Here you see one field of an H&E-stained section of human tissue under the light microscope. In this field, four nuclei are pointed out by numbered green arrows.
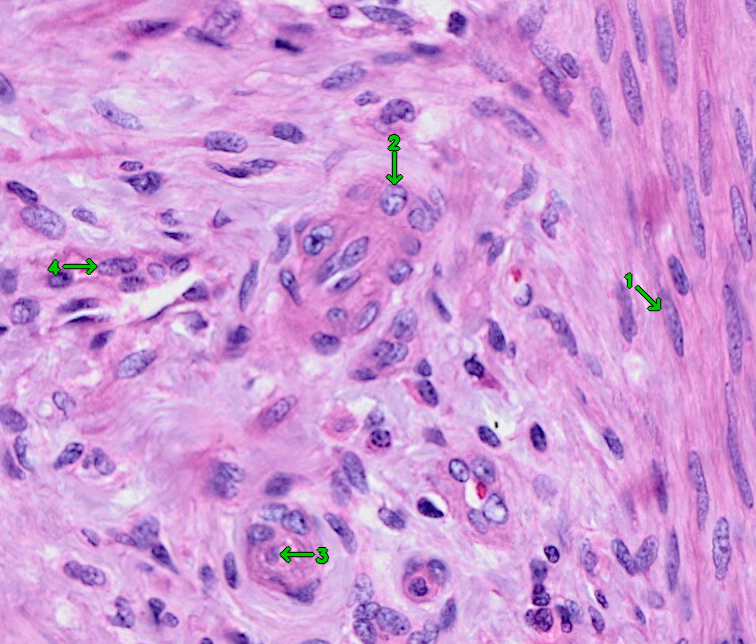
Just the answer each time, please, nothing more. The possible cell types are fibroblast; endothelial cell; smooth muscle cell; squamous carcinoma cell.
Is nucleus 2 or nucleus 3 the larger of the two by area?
2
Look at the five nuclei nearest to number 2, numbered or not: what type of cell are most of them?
smooth muscle cell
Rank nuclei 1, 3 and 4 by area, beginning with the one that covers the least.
3, 4, 1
